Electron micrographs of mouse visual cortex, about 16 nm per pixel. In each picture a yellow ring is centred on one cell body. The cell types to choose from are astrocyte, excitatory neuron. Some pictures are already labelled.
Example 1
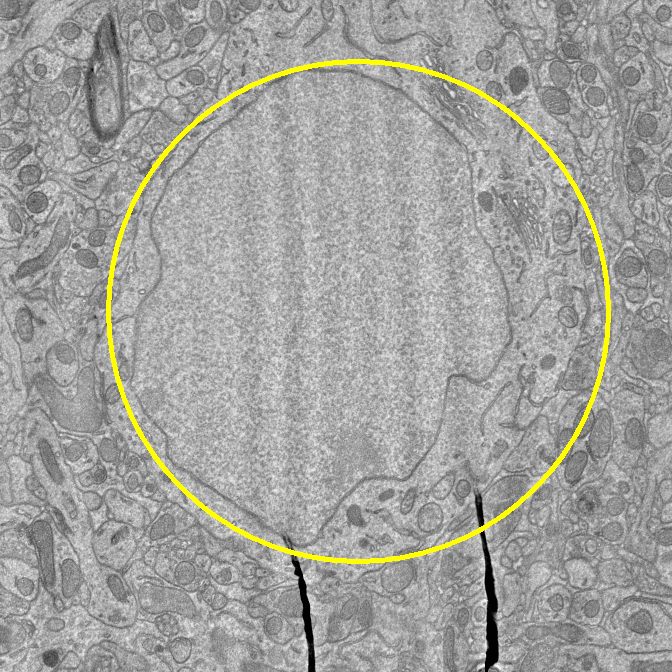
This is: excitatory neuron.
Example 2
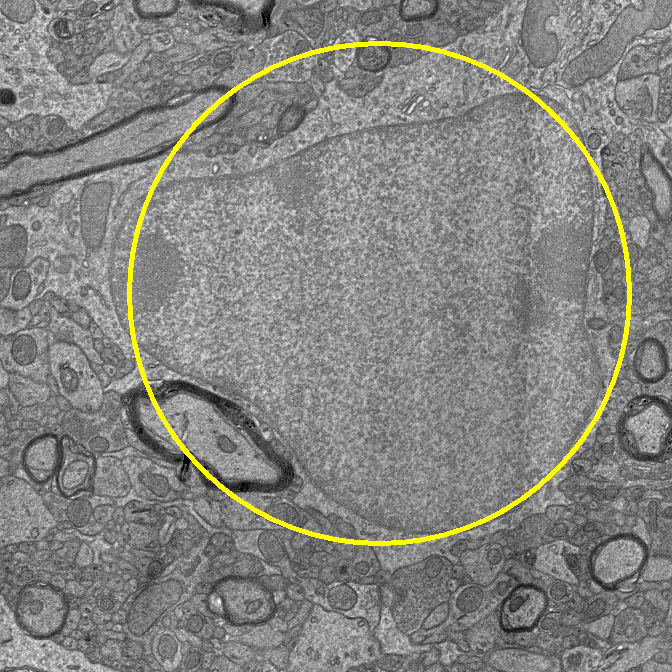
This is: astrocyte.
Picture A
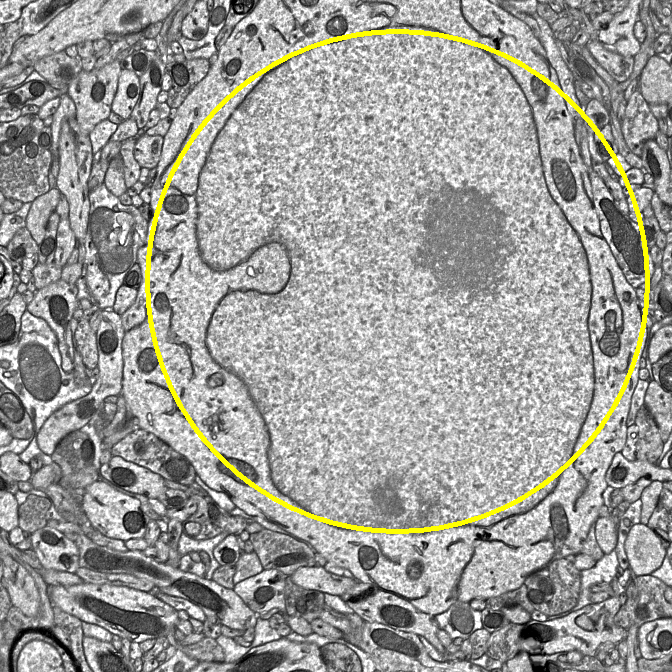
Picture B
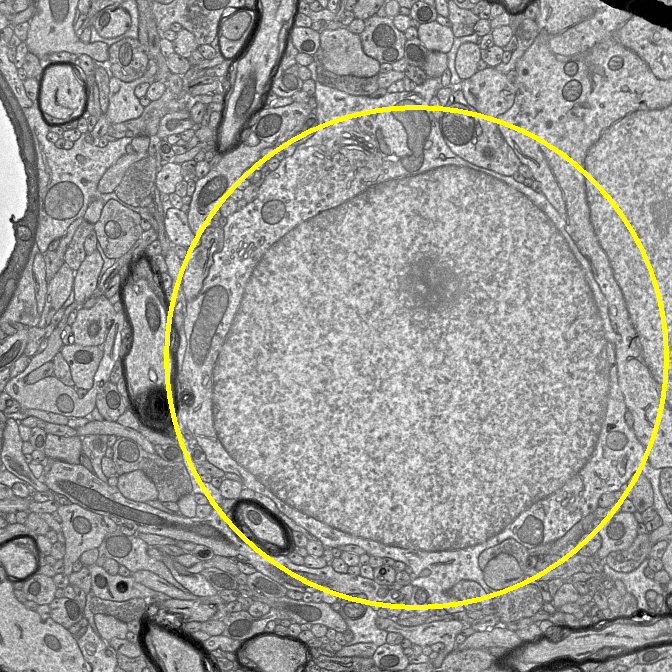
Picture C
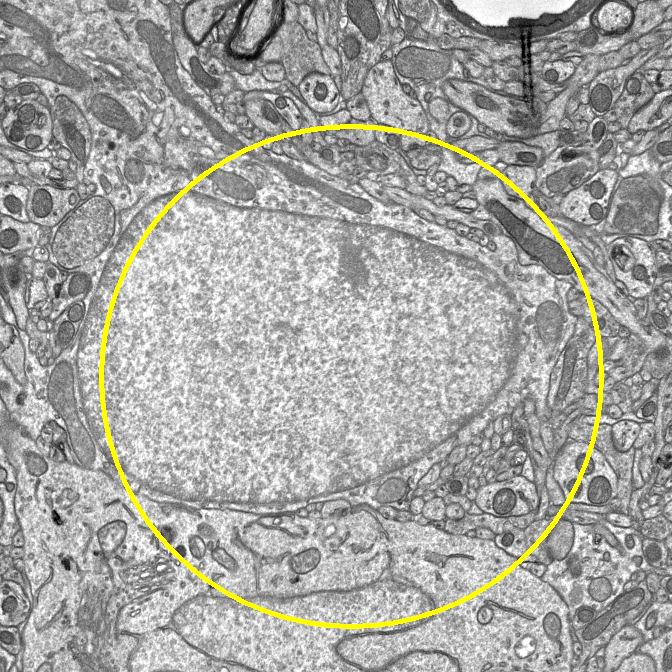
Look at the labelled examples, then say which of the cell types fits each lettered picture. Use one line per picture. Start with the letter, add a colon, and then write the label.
A: excitatory neuron.
B: astrocyte.
C: astrocyte.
